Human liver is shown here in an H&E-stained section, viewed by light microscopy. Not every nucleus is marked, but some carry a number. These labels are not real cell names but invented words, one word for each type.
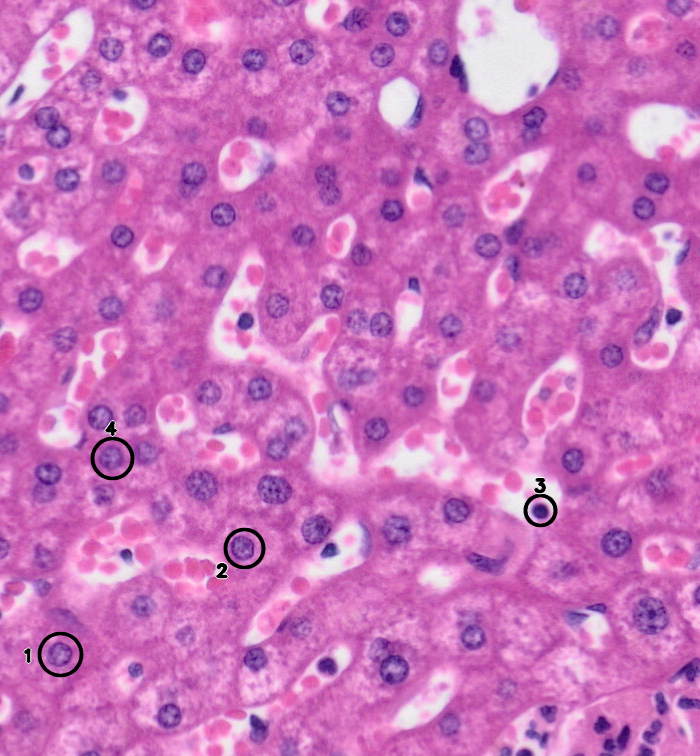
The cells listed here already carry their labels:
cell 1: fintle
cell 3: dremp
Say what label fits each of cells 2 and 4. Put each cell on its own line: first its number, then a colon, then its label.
2: fintle
4: fintle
